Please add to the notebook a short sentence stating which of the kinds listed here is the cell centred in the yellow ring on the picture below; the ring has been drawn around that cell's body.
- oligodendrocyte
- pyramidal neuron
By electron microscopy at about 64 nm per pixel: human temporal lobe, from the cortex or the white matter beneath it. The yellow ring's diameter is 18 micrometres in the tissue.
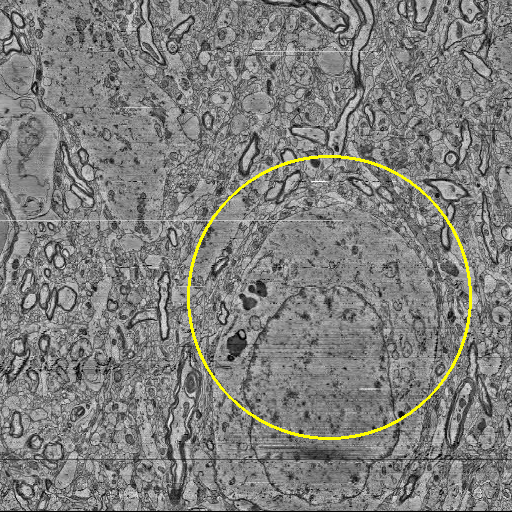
The cell centred in the yellow ring is a pyramidal neuron.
